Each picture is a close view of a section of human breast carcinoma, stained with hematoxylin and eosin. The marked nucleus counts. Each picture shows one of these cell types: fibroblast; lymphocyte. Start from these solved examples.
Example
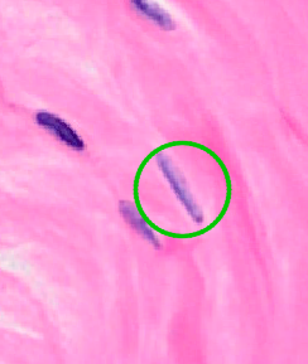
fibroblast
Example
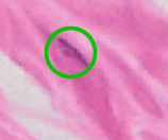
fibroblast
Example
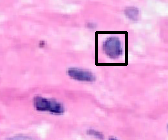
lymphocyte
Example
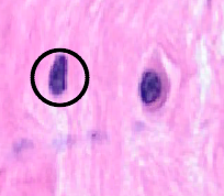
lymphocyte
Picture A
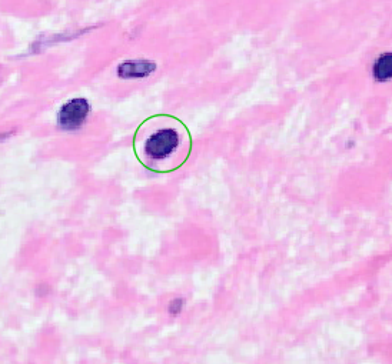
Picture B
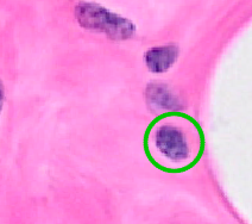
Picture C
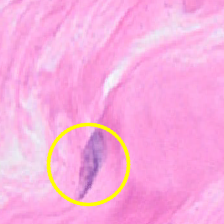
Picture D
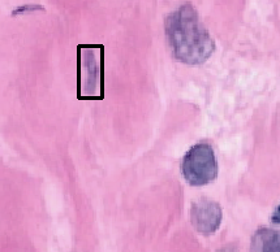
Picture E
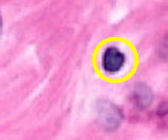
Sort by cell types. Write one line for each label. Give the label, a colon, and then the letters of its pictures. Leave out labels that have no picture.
fibroblast: C, D
lymphocyte: A, B, E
